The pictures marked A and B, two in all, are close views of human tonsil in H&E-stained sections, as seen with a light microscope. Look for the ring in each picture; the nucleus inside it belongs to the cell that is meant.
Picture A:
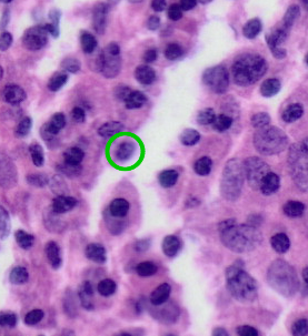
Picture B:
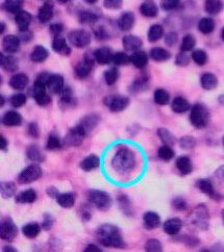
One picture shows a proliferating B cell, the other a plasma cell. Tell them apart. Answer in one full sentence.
Picture A shows a plasma cell and picture B shows a proliferating B cell.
